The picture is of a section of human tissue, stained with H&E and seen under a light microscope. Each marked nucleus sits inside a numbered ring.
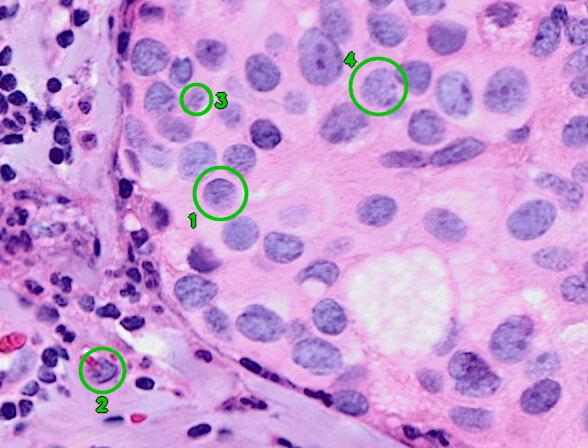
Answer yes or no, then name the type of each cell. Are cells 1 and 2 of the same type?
No, cell 1 is a carcinoma cell and cell 2 is an endothelial cell.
